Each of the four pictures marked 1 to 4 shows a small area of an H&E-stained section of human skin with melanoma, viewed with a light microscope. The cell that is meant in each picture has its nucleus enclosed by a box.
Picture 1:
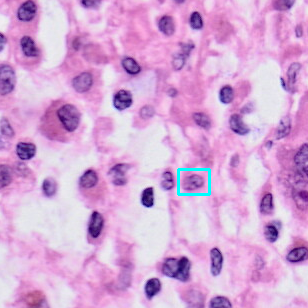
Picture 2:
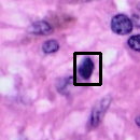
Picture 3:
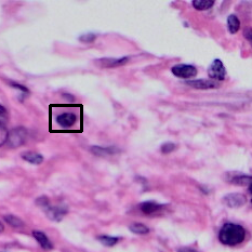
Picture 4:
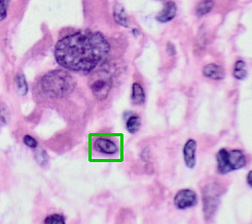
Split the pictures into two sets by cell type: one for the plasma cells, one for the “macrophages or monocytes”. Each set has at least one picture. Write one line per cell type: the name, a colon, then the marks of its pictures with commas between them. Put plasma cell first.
plasma cell: 2, 3
macrophage or monocyte: 1, 4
